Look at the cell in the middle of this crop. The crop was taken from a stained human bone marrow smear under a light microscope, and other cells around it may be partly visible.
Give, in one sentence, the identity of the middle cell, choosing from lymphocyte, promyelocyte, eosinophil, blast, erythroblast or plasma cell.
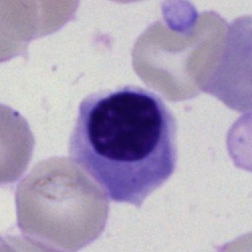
The cell found in the middle of this crop is an erythroblast.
